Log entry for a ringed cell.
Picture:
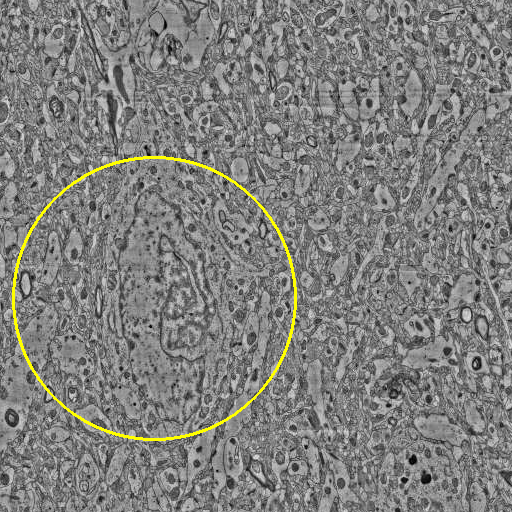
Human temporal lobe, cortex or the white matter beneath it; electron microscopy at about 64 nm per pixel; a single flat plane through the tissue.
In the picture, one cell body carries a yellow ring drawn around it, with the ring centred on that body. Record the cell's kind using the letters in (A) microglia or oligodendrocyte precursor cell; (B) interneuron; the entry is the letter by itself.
B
